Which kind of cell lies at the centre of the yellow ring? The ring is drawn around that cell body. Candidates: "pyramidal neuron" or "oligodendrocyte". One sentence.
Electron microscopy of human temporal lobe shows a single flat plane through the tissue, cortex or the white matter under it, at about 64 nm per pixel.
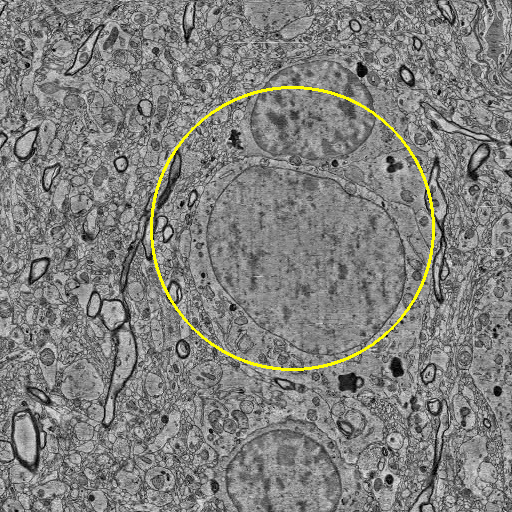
Lying at the centre of the ring is a pyramidal neuron.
